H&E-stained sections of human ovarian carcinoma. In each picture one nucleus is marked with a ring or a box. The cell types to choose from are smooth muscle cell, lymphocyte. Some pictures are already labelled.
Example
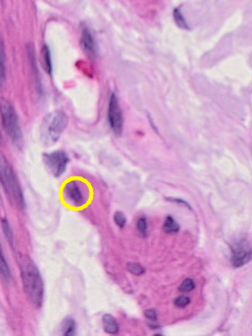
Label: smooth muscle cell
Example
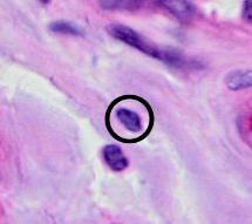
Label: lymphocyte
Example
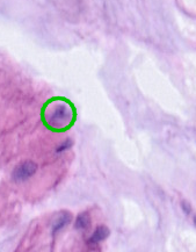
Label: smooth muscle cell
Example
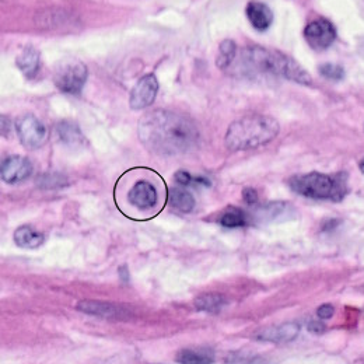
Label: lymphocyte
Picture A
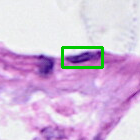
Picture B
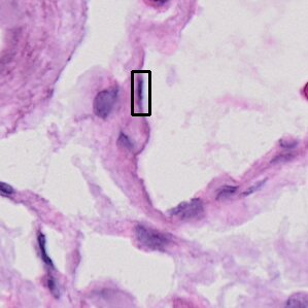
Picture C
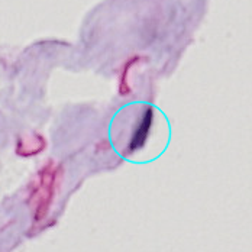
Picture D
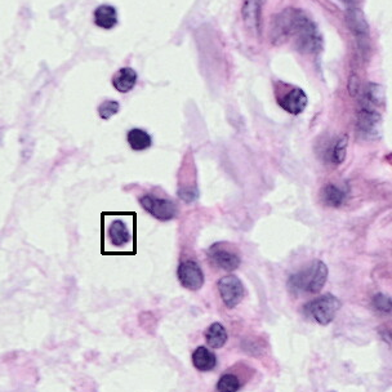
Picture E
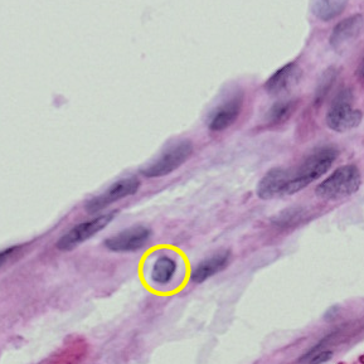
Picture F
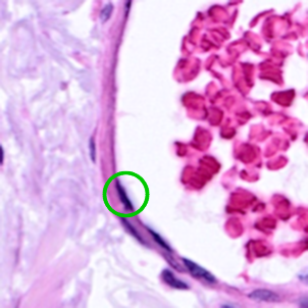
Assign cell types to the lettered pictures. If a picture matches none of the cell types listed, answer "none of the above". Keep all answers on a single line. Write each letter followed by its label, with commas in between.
A none of the above, B none of the above, C none of the above, D lymphocyte, E lymphocyte, F none of the above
